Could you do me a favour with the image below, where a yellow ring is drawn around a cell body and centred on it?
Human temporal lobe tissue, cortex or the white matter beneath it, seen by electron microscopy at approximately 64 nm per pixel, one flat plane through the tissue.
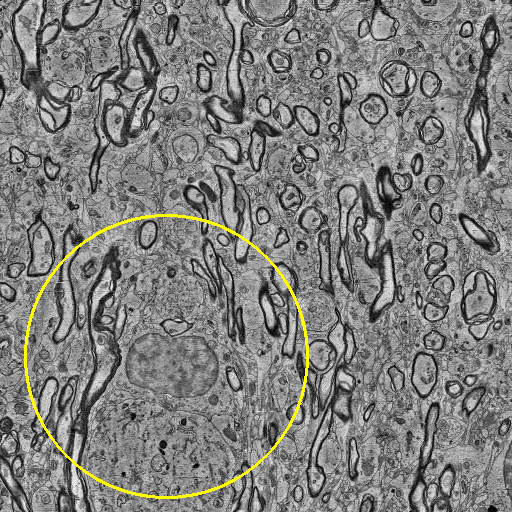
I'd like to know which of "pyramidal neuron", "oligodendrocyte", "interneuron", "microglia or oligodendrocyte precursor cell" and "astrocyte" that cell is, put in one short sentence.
The cell at the ring's centre is an oligodendrocyte.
